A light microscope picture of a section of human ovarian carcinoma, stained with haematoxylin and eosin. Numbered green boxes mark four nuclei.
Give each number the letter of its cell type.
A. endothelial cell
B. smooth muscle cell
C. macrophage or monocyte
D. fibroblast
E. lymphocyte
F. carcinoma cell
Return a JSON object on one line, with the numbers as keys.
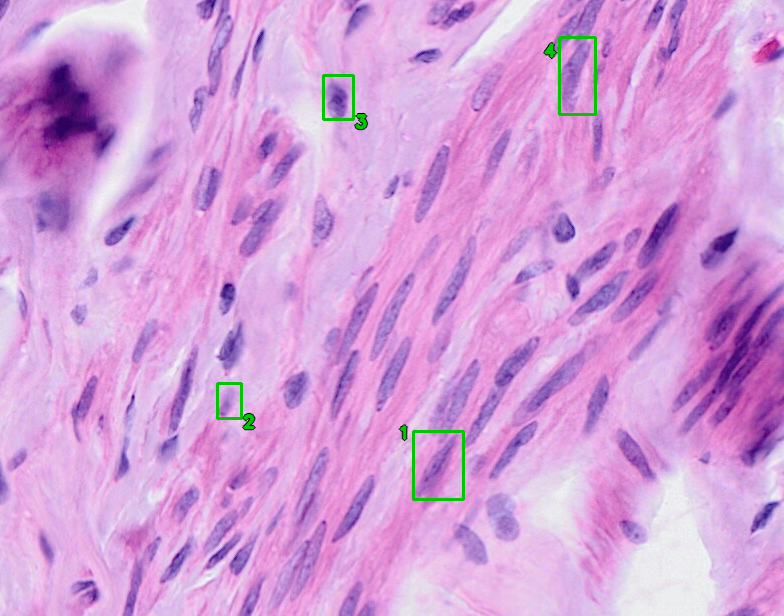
{"1": "B", "2": "B", "3": "D", "4": "B"}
